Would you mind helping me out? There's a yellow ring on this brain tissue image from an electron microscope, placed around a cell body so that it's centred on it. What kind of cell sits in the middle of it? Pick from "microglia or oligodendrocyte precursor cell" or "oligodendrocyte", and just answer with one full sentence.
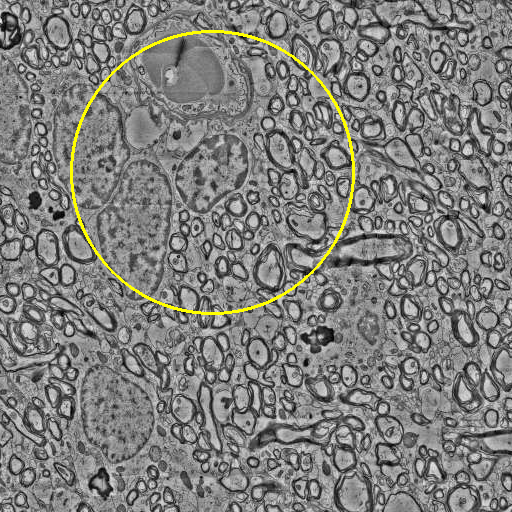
What sits in the middle of that yellow ring is a microglial cell or oligodendrocyte precursor cell, from your choices.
